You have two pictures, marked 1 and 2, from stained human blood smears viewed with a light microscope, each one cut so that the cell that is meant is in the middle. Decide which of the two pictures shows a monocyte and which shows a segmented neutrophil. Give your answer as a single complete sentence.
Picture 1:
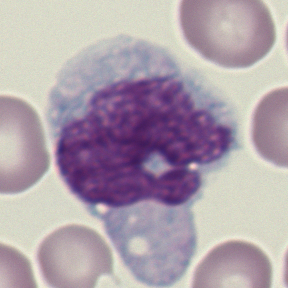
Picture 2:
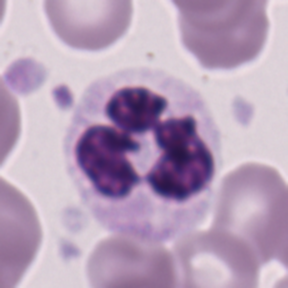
The cell in picture 1 is a monocyte, and the one in picture 2 is a segmented neutrophil.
